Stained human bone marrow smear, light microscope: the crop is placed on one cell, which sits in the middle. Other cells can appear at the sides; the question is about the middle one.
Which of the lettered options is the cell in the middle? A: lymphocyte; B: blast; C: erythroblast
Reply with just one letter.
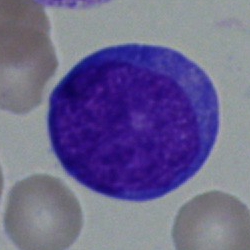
B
